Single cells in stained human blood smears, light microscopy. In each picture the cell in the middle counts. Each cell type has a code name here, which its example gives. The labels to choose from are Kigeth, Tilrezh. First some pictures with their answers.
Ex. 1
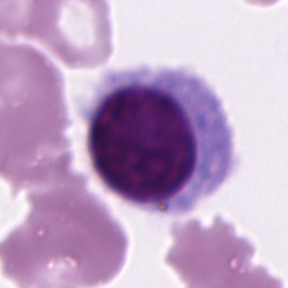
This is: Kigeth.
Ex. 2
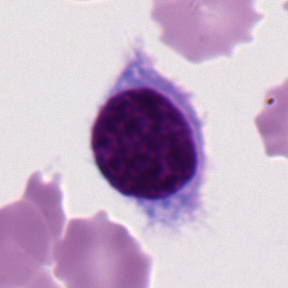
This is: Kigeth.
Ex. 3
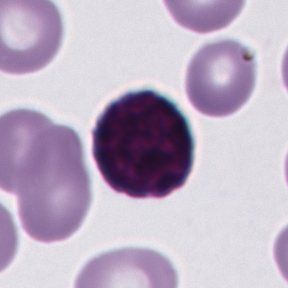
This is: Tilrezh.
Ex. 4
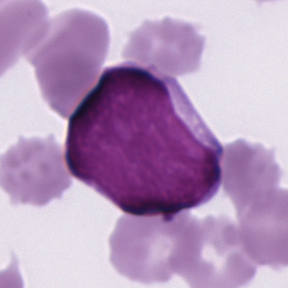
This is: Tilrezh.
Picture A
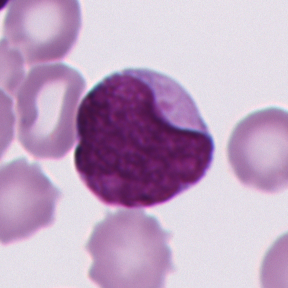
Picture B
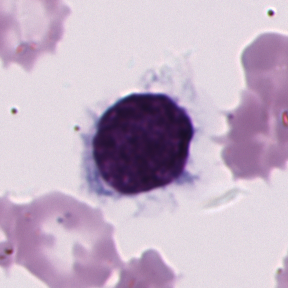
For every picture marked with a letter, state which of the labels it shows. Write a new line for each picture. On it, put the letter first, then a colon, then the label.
A: Tilrezh.
B: Kigeth.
